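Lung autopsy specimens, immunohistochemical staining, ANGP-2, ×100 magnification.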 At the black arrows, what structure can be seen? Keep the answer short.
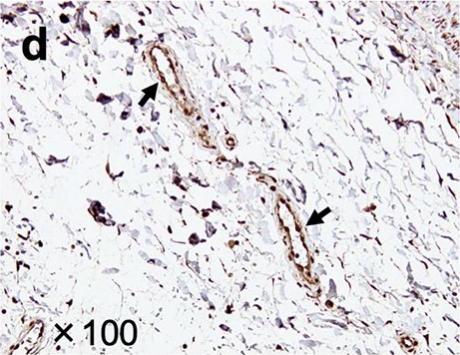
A: Small vessels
